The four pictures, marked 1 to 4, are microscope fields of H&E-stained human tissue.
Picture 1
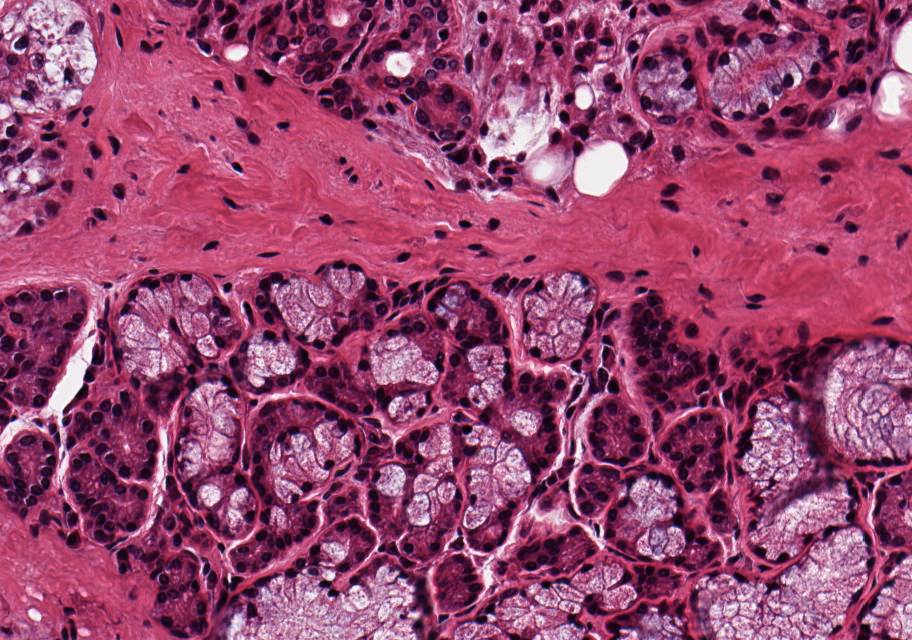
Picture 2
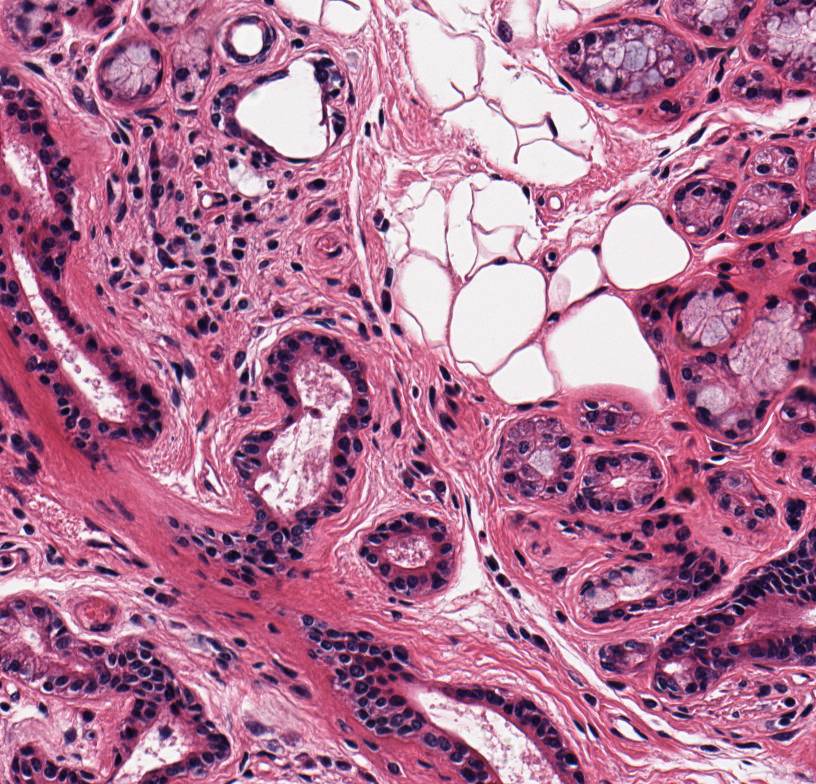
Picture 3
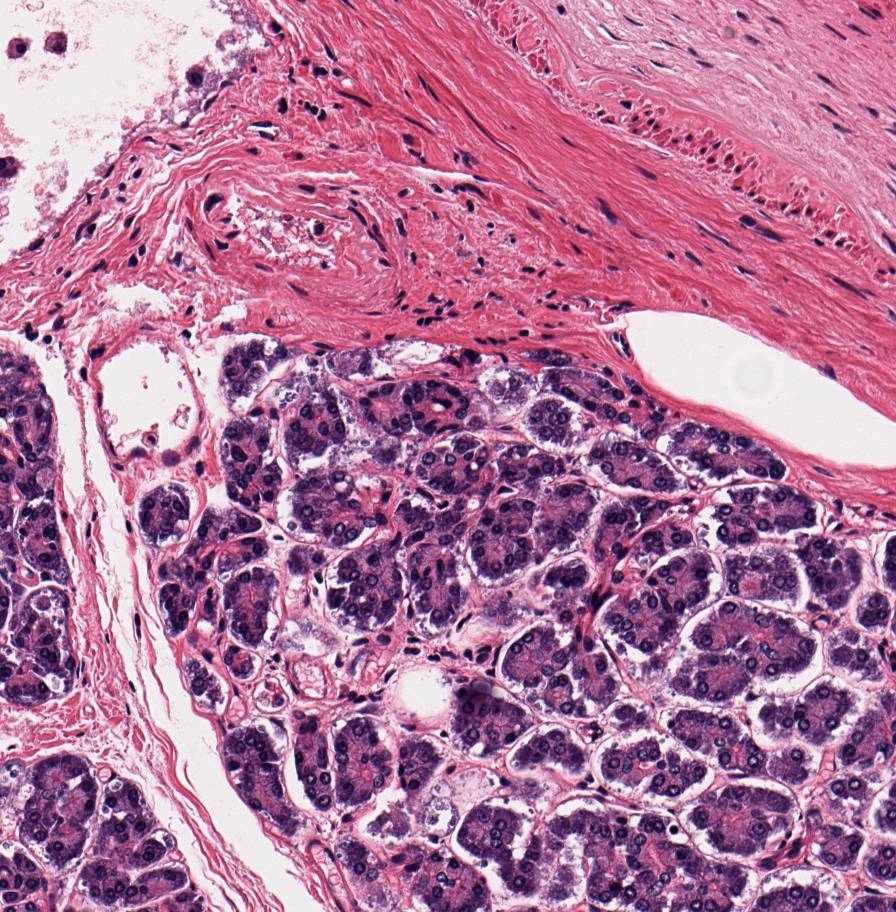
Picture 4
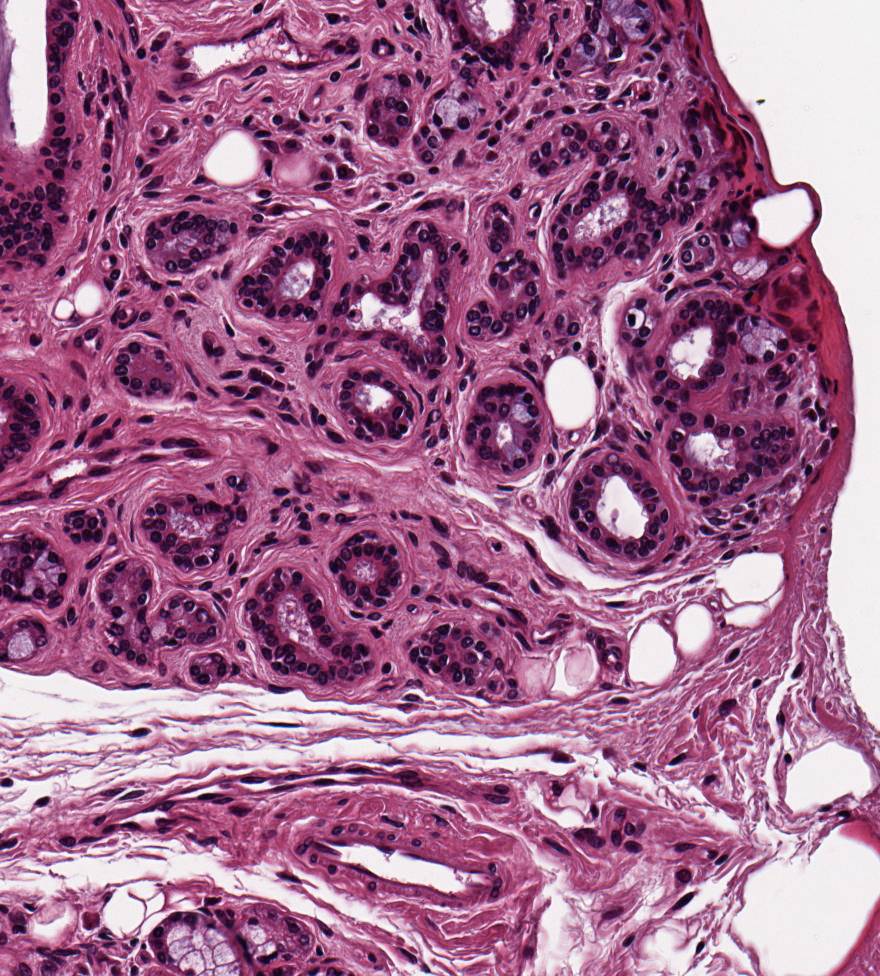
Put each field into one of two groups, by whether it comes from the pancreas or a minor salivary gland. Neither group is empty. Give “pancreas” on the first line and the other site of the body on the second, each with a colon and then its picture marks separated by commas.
pancreas: 3
minor salivary gland: 1, 2, 4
